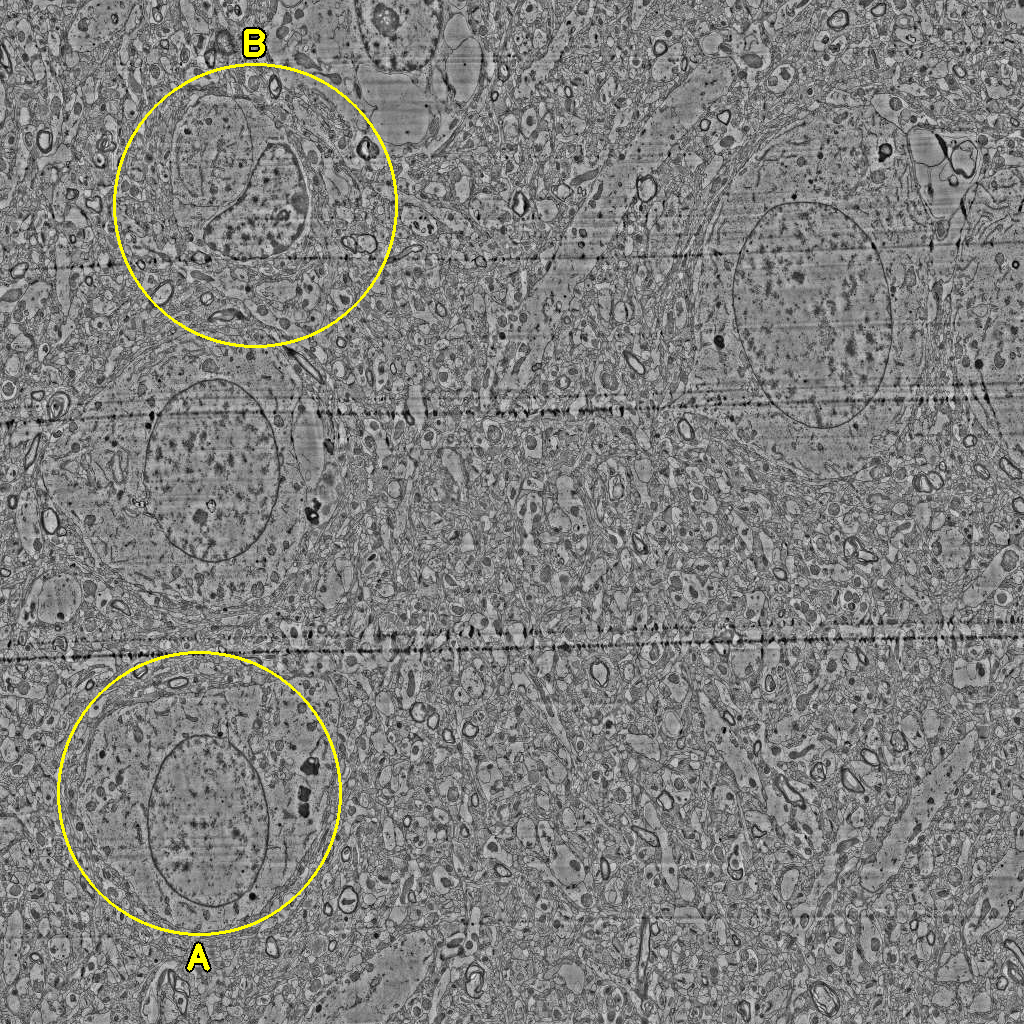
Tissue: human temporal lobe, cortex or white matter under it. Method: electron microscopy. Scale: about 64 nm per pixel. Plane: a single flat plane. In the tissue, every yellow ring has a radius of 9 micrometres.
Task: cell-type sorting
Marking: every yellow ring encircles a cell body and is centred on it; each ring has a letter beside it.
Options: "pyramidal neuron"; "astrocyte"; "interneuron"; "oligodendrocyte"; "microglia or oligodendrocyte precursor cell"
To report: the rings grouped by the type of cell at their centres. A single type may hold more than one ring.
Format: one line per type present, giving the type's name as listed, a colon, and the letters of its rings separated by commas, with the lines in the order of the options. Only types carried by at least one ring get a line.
pyramidal neuron: A
microglia or oligodendrocyte precursor cell: B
